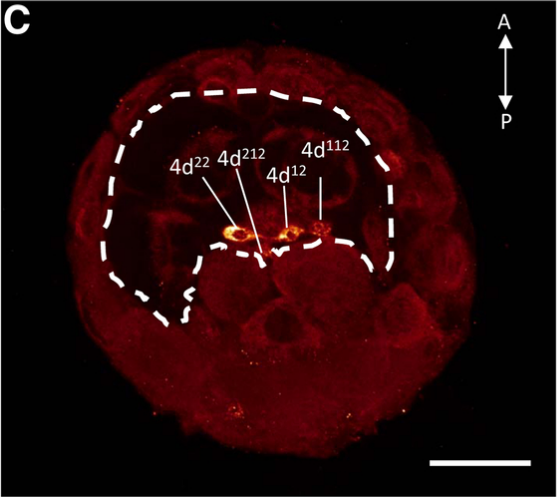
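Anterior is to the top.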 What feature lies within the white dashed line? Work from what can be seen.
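Blastopore. A white dashed line encloses a large central opening-like region of the embryo. The outlined region is bordered by larger cells at its lower edge.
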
